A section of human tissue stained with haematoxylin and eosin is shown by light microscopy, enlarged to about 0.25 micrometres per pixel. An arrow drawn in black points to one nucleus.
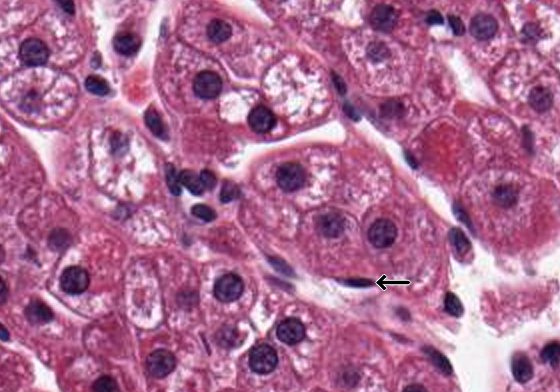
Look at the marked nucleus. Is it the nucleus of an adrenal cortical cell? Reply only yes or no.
no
